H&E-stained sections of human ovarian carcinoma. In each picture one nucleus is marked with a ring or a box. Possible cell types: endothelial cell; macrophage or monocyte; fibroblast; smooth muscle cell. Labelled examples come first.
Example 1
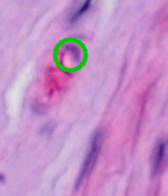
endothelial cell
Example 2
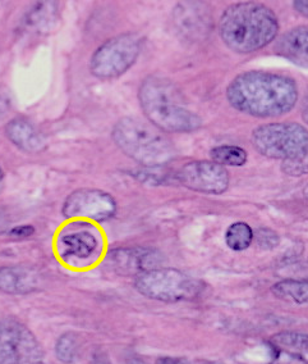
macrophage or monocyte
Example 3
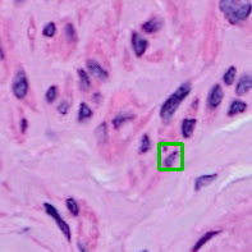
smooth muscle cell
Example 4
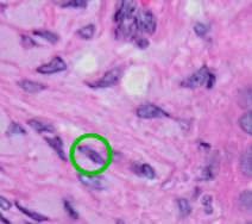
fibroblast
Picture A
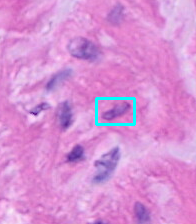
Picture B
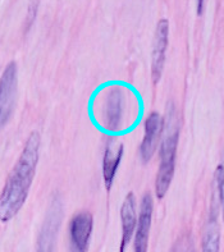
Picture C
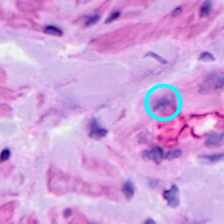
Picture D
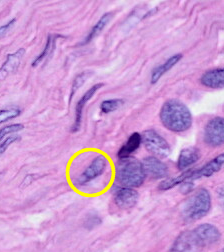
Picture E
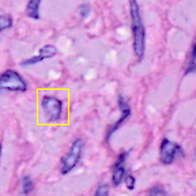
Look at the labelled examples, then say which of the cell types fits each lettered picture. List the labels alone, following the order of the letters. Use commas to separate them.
smooth muscle cell, smooth muscle cell, endothelial cell, fibroblast, fibroblast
